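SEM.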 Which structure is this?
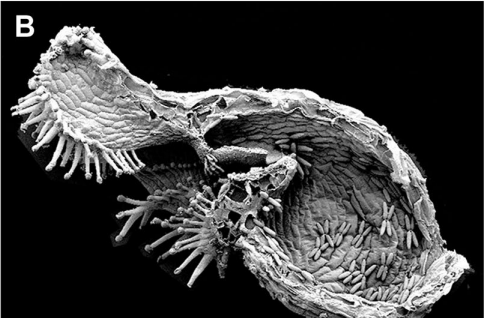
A: Trap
